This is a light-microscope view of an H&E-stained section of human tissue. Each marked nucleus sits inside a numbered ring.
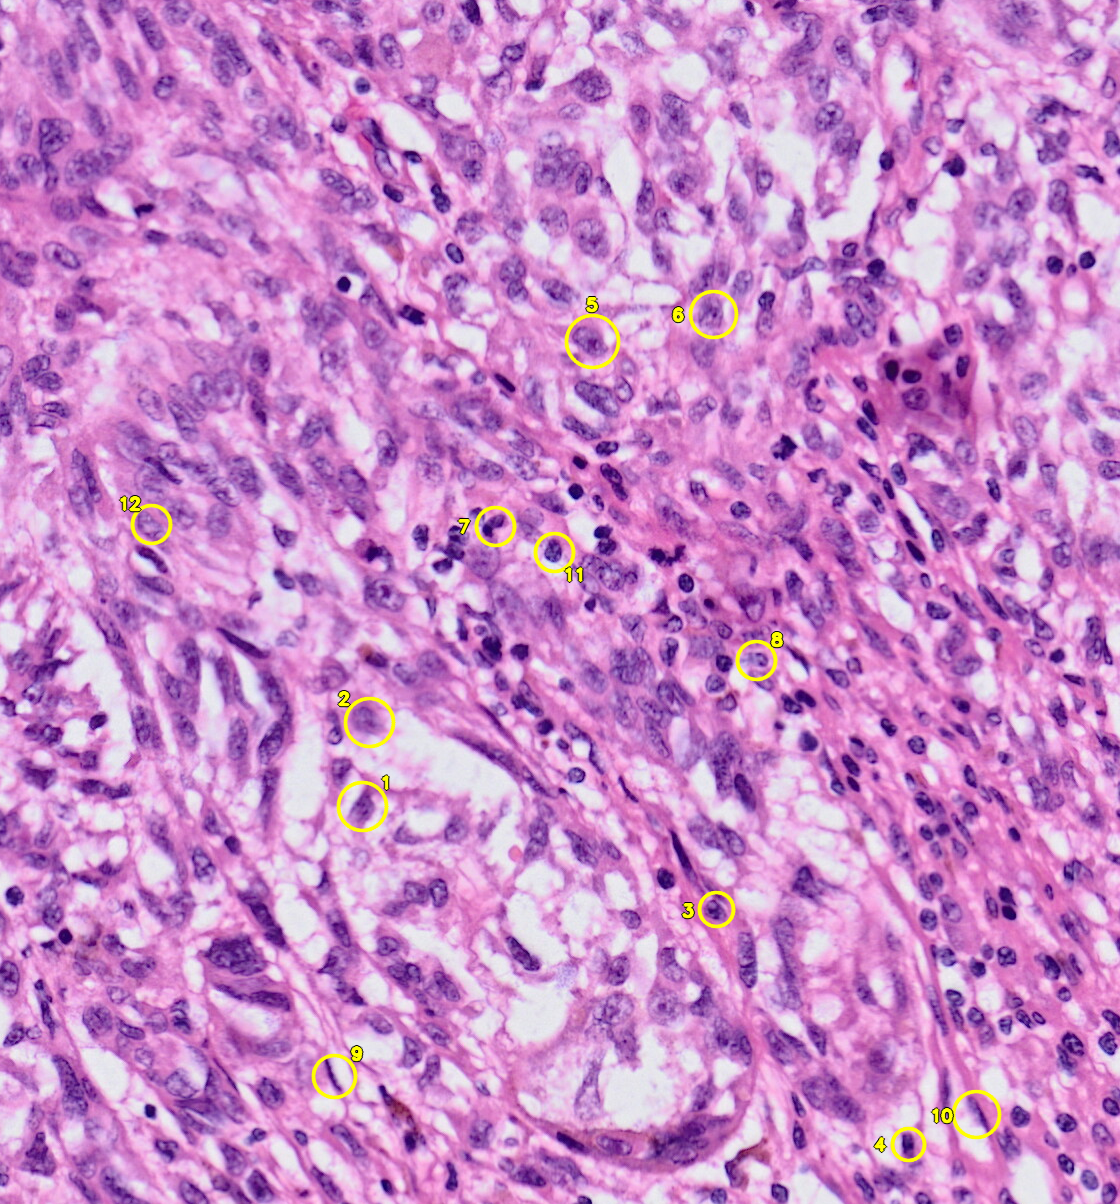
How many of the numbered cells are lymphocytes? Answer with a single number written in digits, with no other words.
5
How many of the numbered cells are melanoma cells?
5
